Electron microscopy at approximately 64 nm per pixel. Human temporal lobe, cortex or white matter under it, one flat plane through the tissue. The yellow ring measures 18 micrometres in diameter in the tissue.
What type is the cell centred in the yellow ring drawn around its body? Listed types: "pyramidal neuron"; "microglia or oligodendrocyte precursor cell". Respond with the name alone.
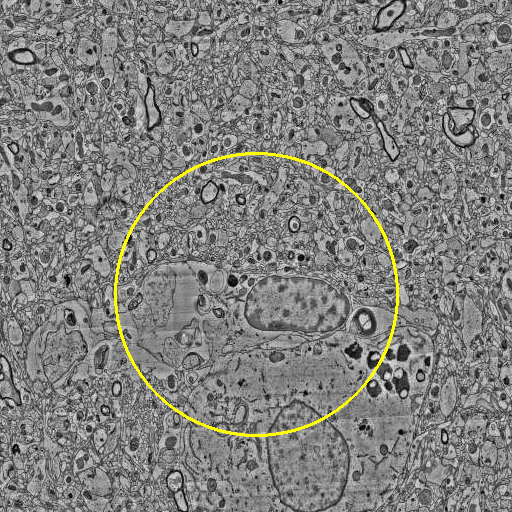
microglia or oligodendrocyte precursor cell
